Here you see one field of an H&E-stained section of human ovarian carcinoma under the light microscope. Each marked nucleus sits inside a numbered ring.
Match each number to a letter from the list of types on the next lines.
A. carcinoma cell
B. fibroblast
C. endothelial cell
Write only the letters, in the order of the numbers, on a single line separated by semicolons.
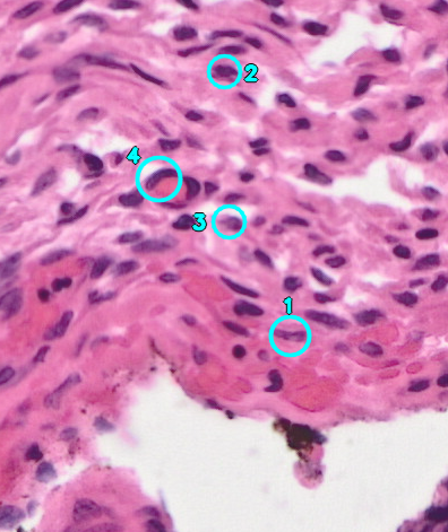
B; B; B; C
